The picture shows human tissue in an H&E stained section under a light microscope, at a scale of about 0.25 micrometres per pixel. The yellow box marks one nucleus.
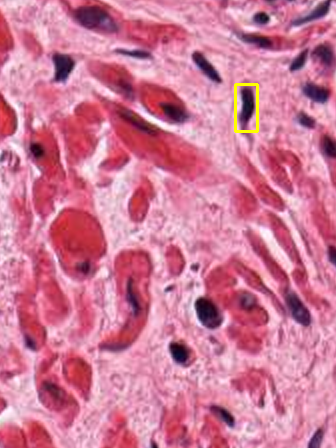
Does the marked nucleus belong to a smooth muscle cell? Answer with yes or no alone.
no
